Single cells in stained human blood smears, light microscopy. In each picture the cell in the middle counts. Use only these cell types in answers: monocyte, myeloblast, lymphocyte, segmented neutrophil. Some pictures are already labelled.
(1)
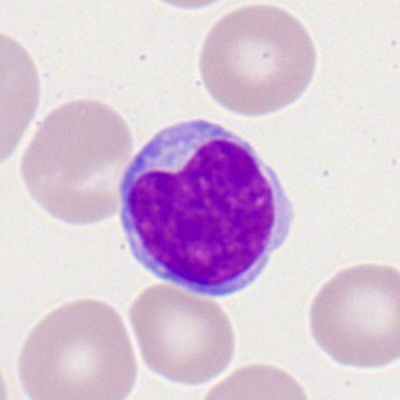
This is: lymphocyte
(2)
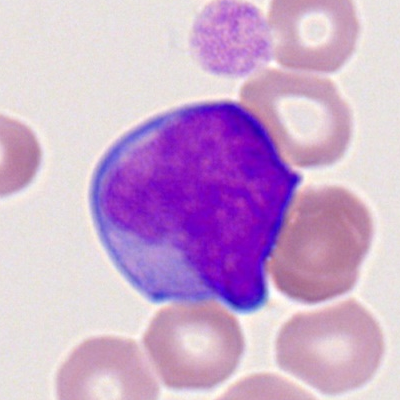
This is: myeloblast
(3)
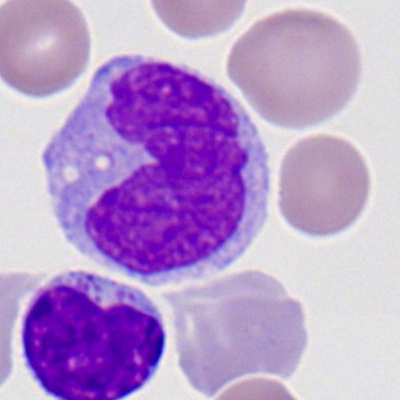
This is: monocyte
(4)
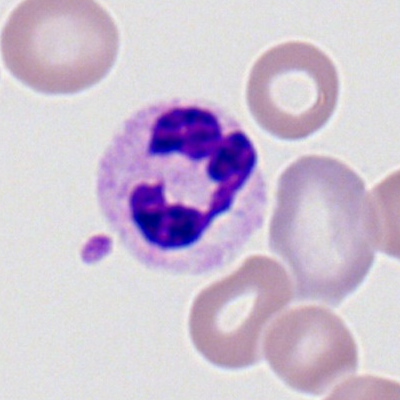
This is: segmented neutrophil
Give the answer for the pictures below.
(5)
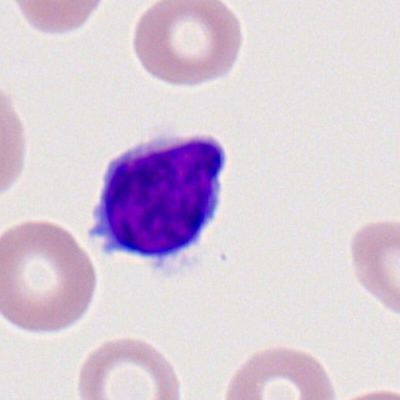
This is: lymphocyte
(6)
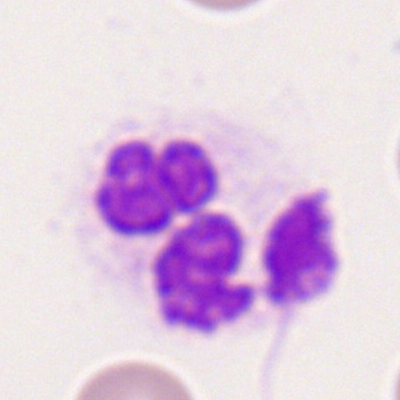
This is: segmented neutrophil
